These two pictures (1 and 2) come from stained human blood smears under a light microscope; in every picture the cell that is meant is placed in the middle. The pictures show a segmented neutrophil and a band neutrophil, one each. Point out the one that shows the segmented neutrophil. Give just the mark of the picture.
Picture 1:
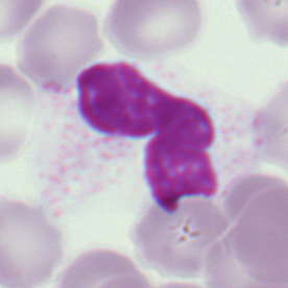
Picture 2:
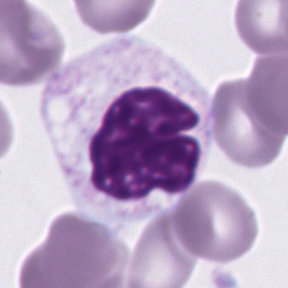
1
